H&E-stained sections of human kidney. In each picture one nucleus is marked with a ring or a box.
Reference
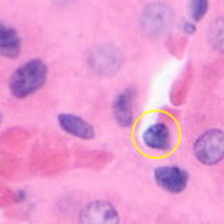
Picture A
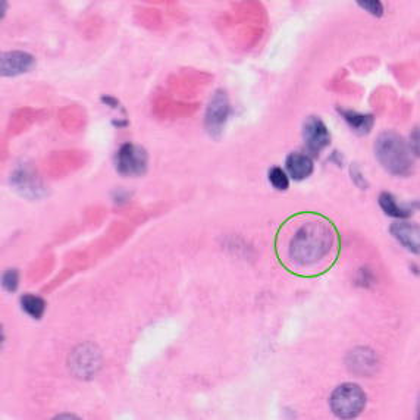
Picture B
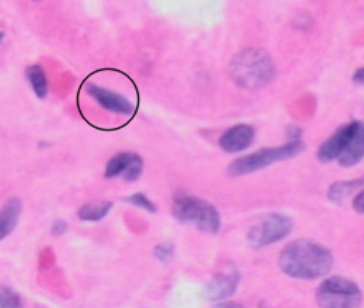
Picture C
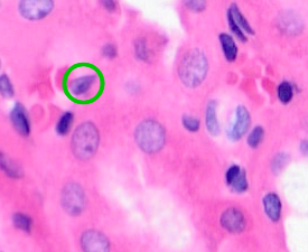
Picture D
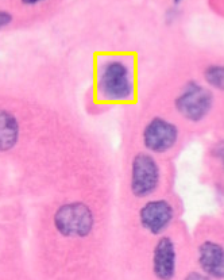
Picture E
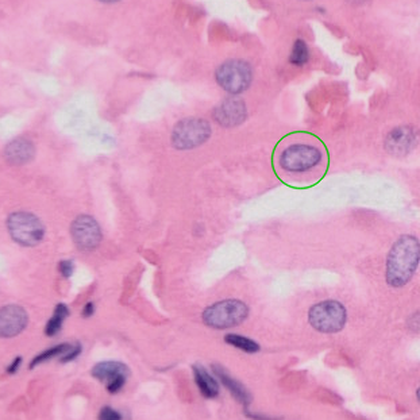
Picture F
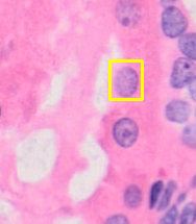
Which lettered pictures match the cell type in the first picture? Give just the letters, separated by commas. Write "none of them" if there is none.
B, C, D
